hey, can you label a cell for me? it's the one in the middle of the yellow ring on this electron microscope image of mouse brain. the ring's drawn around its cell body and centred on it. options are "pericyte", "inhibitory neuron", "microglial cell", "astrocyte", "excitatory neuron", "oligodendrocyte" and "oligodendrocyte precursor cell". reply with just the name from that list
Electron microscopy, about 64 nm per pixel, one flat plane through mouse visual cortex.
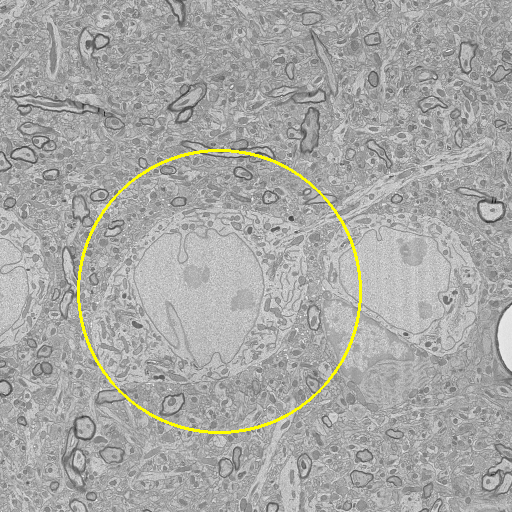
inhibitory neuron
